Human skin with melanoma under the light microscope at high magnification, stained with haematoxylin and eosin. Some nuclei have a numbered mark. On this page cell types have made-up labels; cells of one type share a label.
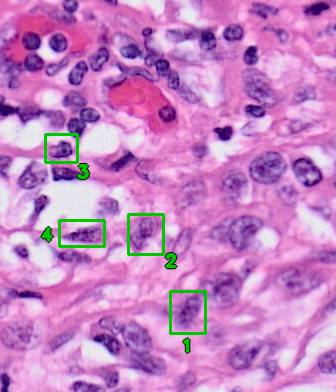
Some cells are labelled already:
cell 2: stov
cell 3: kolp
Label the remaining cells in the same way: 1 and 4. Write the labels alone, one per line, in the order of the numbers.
stov
stov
